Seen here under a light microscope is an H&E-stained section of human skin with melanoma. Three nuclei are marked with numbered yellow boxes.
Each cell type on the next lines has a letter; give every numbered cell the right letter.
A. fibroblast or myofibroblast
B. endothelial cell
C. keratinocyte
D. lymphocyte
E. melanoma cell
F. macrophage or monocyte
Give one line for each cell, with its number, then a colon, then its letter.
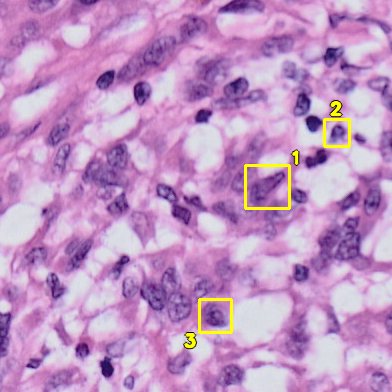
1: E
2: D
3: E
